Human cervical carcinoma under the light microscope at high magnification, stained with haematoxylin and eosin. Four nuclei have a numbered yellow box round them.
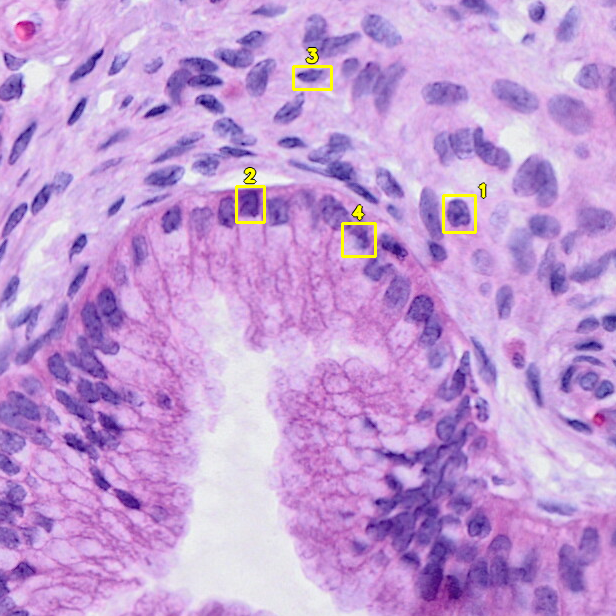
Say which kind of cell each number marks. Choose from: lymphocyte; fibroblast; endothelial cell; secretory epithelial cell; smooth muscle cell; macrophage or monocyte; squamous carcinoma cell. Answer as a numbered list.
1. lymphocyte
2. secretory epithelial cell
3. fibroblast
4. secretory epithelial cell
